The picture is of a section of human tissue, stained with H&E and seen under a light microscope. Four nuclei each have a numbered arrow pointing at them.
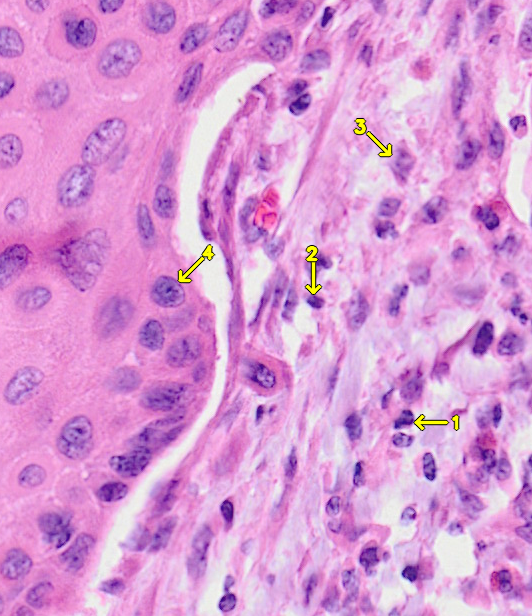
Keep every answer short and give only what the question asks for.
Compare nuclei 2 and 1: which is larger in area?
1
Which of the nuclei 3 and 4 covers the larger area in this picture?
4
